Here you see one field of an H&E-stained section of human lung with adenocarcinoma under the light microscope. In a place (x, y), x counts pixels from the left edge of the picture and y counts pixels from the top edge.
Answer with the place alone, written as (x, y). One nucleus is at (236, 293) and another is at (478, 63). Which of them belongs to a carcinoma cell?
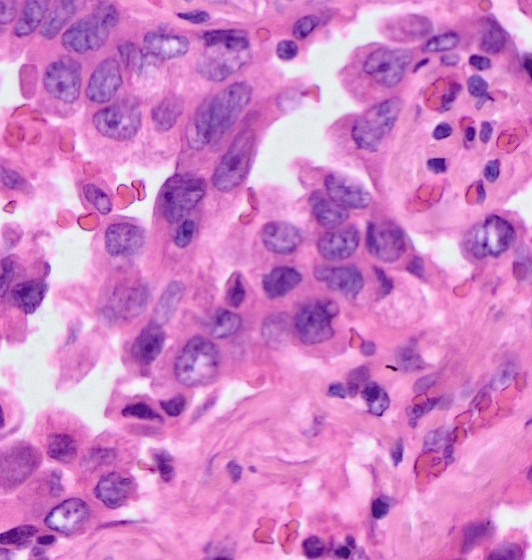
(236, 293)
